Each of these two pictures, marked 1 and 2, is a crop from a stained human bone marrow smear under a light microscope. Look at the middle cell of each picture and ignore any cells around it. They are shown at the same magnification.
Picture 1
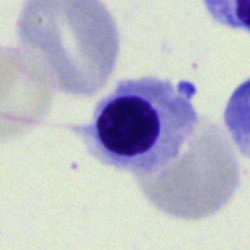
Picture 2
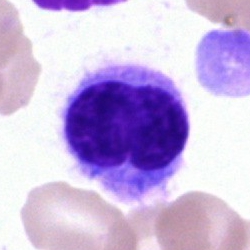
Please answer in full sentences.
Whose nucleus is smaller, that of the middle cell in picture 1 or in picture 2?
Picture 1 shows the smaller nucleus, since that in picture 2 covers about 3 times as much area.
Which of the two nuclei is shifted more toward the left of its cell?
It is the nucleus in picture 1 that lies further toward the left of its cell.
